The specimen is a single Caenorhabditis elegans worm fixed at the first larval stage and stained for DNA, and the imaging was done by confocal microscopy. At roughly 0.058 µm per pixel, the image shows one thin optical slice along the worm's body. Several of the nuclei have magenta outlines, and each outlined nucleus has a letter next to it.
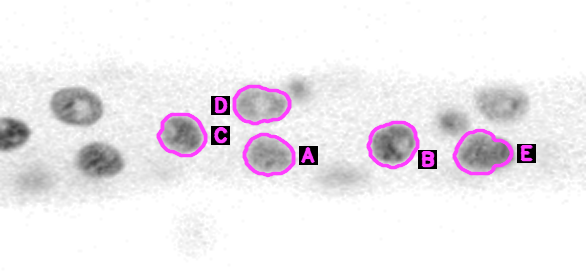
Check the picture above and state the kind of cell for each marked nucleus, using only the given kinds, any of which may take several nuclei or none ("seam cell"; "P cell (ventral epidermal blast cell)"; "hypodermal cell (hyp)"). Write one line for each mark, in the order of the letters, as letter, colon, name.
A: P cell (ventral epidermal blast cell)
B: seam cell
C: seam cell
D: hypodermal cell (hyp)
E: P cell (ventral epidermal blast cell)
